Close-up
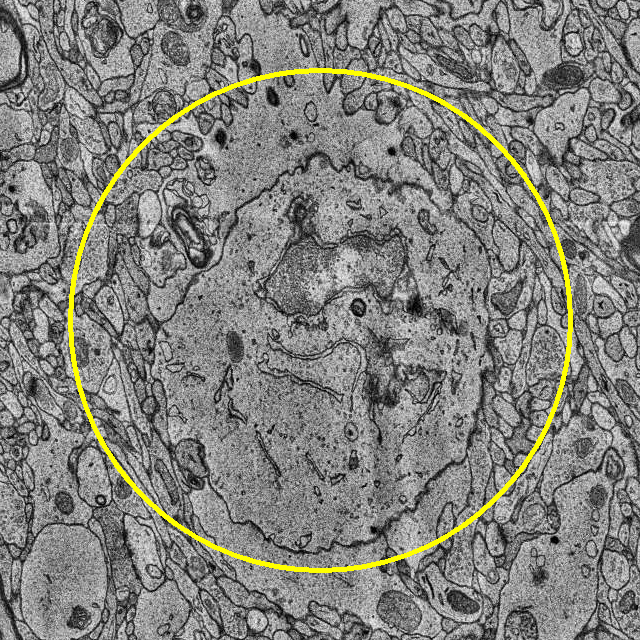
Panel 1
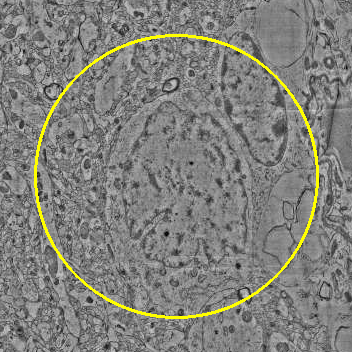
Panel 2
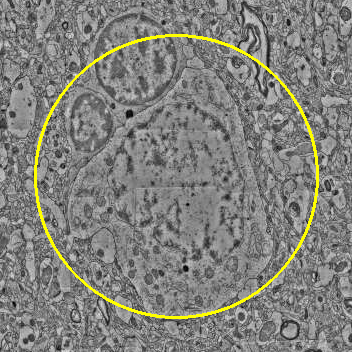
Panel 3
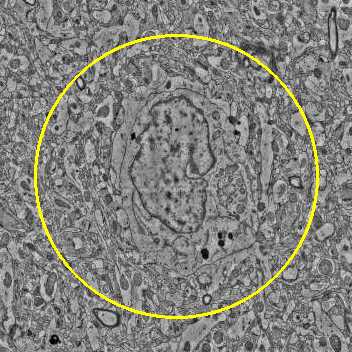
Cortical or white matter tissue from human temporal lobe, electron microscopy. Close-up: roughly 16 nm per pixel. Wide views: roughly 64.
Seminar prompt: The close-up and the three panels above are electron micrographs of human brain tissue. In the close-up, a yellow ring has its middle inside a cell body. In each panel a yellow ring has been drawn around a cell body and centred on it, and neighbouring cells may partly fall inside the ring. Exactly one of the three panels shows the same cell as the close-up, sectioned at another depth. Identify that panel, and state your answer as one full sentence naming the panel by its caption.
The close-up pictures the cell encircled in Panel 3.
